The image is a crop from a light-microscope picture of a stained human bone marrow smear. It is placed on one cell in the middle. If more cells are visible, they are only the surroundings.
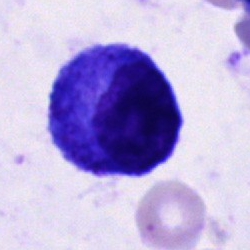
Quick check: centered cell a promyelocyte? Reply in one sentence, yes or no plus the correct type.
Yes, the cell found in the center of the crop is a promyelocyte.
